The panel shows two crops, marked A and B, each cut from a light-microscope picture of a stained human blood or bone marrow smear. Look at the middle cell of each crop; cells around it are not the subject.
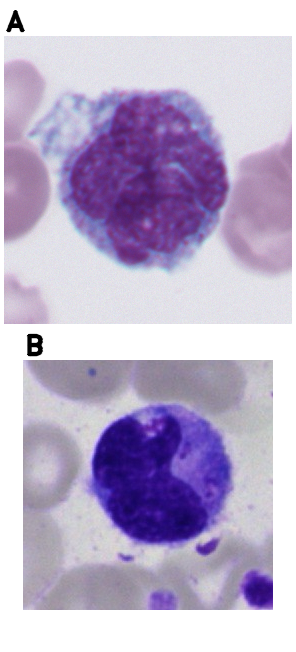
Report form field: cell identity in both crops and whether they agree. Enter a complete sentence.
Yes, as an answer for this item, both crops show monocytes.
